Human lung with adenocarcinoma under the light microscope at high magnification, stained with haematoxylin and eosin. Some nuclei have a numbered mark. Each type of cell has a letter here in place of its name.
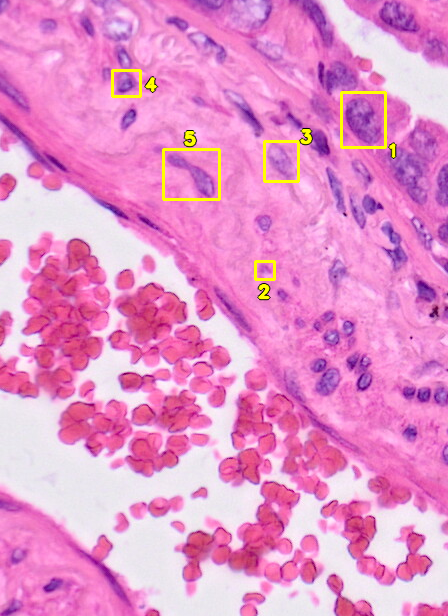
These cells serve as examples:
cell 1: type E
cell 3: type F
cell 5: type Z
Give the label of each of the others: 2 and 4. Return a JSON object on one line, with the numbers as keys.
{"2": "type Z", "4": "type Z"}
